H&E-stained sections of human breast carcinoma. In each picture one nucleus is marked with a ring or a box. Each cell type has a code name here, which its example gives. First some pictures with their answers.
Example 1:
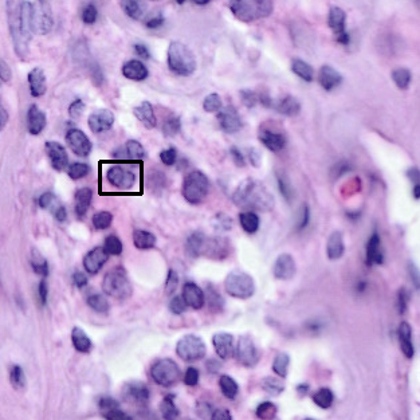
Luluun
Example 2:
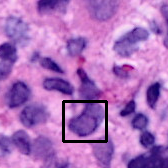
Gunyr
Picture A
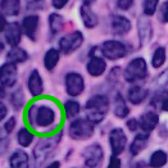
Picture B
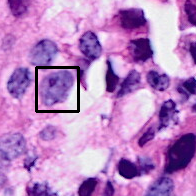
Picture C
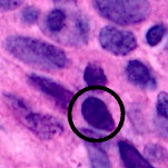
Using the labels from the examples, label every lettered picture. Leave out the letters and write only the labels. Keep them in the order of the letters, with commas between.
Luluun, Gunyr, Gunyr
